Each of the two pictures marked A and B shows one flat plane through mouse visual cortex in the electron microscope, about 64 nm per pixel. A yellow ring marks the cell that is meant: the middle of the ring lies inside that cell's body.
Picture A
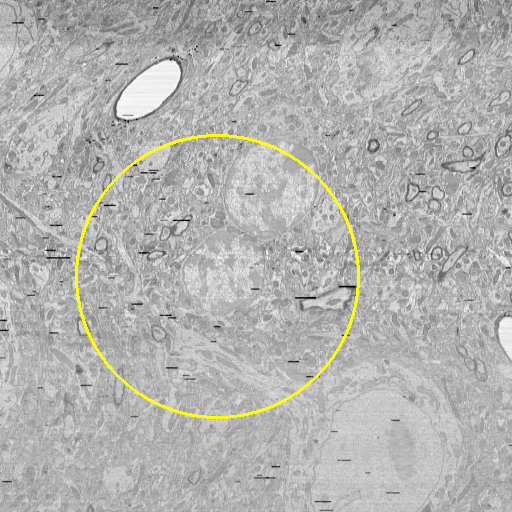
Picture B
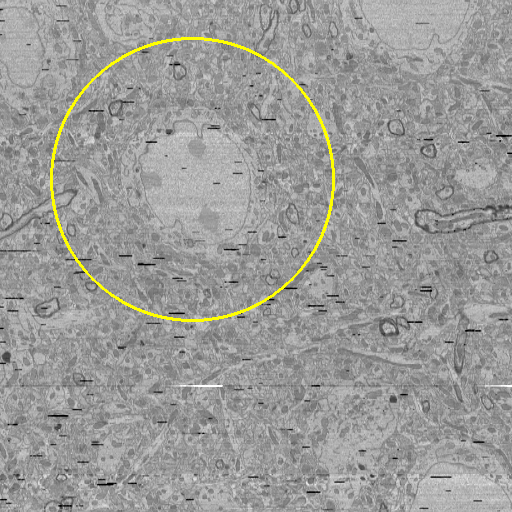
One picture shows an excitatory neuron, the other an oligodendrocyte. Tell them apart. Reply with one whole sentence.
It is picture A that shows an oligodendrocyte, and picture B that shows an excitatory neuron.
